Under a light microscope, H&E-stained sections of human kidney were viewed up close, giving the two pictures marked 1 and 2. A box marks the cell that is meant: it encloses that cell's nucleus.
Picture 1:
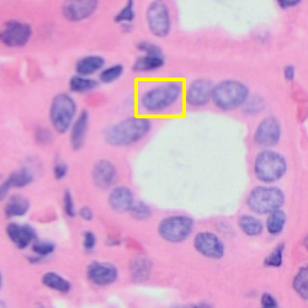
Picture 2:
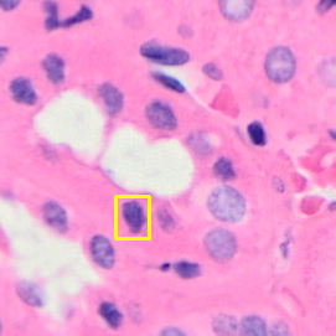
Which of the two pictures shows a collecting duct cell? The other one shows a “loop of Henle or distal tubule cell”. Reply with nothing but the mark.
1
